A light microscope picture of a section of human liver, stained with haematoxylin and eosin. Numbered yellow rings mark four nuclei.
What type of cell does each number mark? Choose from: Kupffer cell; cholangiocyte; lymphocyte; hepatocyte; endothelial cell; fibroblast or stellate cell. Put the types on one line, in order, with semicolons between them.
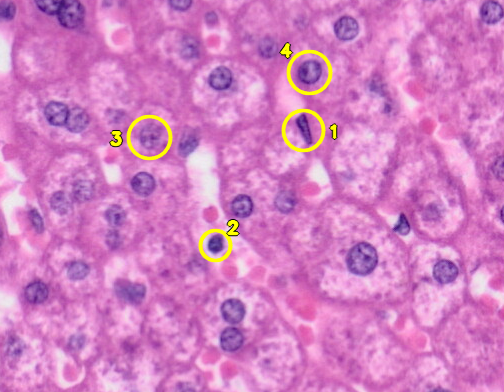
fibroblast or stellate cell; lymphocyte; hepatocyte; hepatocyte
